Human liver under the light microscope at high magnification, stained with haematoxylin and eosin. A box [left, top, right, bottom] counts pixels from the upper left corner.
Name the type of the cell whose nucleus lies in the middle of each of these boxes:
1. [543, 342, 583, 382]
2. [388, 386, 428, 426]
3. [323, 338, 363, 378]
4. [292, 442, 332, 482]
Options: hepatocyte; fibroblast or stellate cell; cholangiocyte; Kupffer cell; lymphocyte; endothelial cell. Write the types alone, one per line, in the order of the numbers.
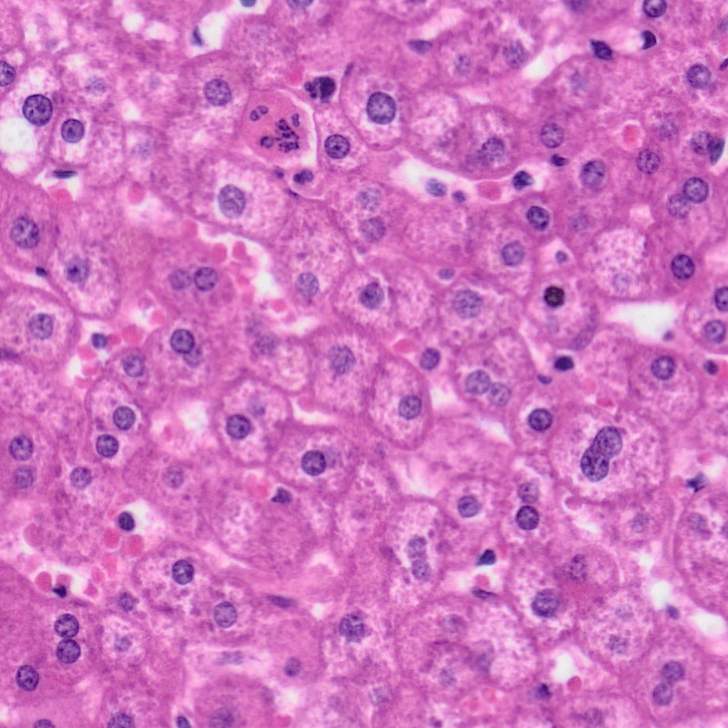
lymphocyte
hepatocyte
hepatocyte
hepatocyte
